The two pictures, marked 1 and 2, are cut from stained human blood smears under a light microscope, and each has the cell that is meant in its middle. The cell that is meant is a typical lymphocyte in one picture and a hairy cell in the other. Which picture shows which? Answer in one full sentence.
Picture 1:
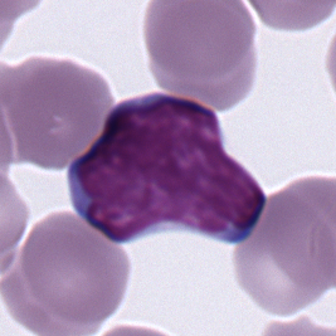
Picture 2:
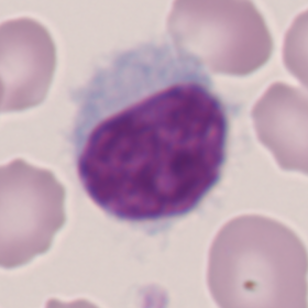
Picture 1 is of a typical lymphocyte, and picture 2 is of a hairy cell.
